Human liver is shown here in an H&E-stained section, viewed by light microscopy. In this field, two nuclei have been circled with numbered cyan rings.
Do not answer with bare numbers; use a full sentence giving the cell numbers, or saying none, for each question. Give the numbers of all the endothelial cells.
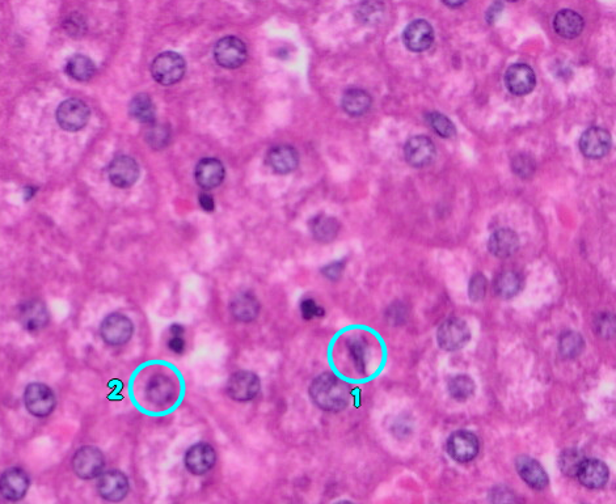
The only cell among those numbered to be an endothelial cell is number 1.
